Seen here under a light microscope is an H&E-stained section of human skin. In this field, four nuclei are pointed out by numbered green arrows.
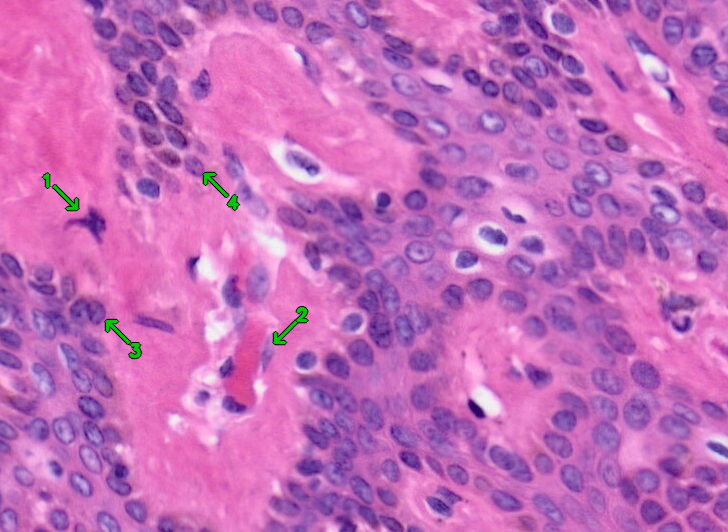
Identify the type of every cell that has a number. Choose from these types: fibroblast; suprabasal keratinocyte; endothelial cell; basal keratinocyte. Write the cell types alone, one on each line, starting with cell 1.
fibroblast
endothelial cell
basal keratinocyte
basal keratinocyte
